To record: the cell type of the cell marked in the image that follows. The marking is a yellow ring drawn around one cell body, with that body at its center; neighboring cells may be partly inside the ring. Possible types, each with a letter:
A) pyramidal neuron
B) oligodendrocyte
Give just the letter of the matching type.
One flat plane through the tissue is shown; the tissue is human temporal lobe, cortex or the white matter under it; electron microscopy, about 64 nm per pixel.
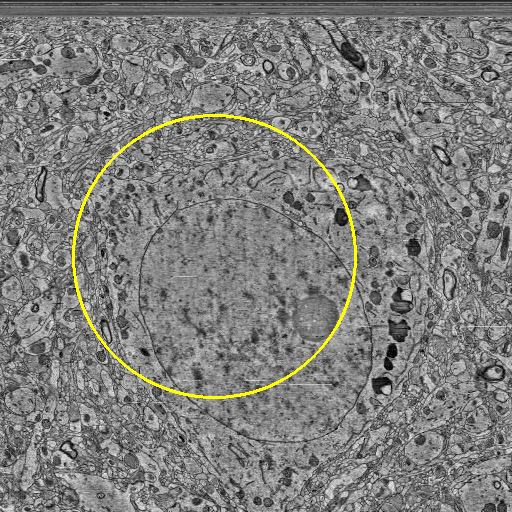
A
